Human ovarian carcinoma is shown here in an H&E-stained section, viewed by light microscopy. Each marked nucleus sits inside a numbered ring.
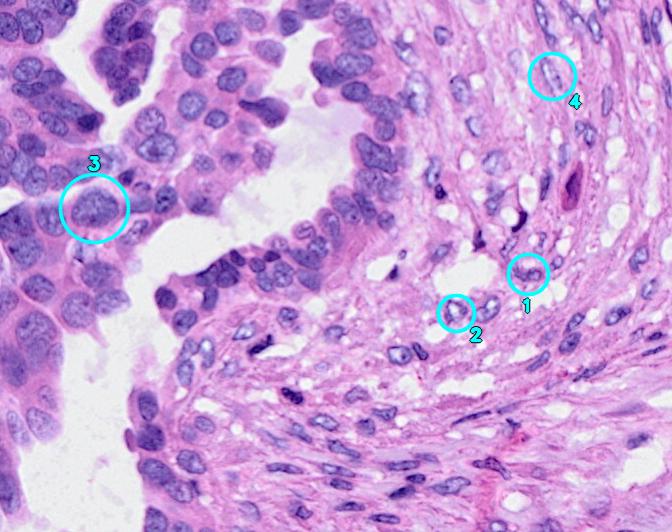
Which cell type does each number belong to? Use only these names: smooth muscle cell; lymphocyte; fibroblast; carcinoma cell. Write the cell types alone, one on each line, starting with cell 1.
fibroblast
fibroblast
carcinoma cell
fibroblast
